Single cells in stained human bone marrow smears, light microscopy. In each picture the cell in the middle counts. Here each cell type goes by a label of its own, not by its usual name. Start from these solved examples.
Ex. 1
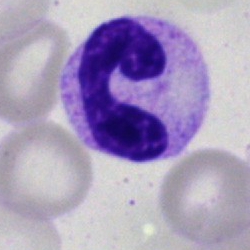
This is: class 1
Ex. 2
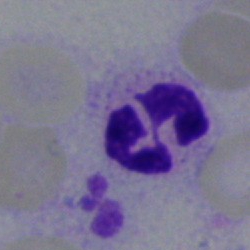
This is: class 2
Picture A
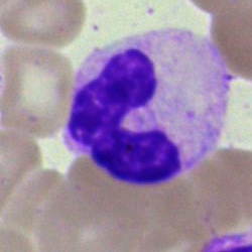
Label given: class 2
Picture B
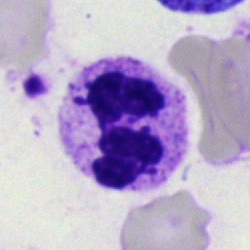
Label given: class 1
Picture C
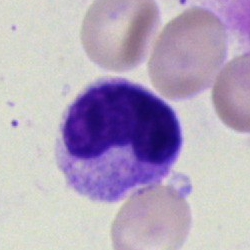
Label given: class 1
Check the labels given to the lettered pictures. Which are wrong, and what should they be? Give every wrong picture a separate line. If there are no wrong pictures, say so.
B: not class 1 but class 2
